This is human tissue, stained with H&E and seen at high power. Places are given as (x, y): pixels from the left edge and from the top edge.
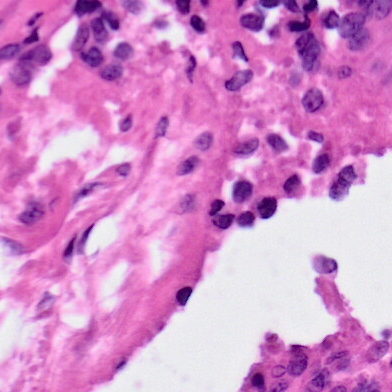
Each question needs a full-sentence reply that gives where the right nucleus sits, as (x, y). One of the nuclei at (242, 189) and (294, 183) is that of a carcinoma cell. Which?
Of the two nuclei, the nucleus of a carcinoma cell is at (242, 189).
